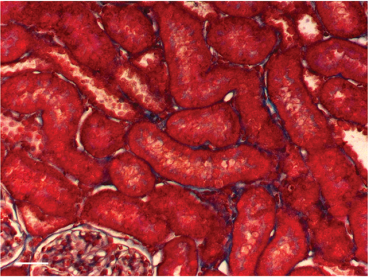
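Kidney cortex in which closely packed convoluted tubules stain red. The tubular epithelium has granular red cytoplasm around narrow, pale lumens. Very little interstitium lies between adjacent tubules, and hardly any blue-stained fibrous tissue is present. A glomerulus with its capillary tuft lies at the lower left.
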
